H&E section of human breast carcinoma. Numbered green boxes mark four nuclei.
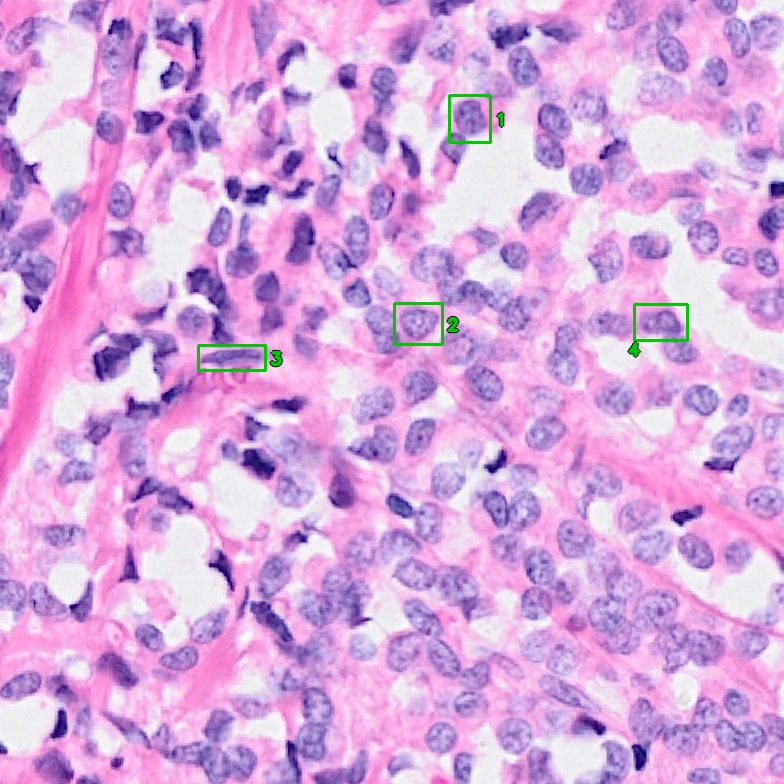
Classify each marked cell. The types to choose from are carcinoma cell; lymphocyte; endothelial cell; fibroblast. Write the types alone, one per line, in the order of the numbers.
carcinoma cell
carcinoma cell
endothelial cell
carcinoma cell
